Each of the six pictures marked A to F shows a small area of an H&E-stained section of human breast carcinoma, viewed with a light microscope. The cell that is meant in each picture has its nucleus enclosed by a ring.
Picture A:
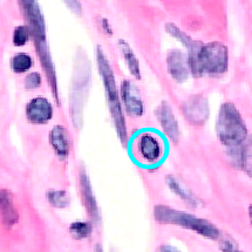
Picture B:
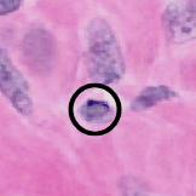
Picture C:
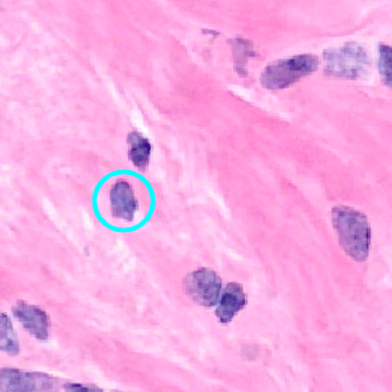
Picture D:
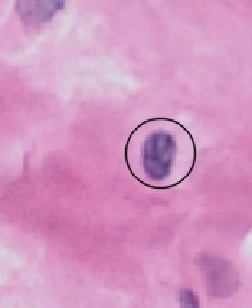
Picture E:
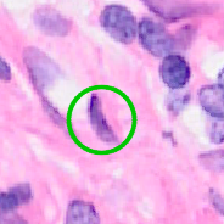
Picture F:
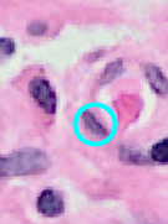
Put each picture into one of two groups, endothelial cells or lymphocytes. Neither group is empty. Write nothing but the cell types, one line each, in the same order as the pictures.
endothelial cell
lymphocyte
lymphocyte
lymphocyte
endothelial cell
endothelial cell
